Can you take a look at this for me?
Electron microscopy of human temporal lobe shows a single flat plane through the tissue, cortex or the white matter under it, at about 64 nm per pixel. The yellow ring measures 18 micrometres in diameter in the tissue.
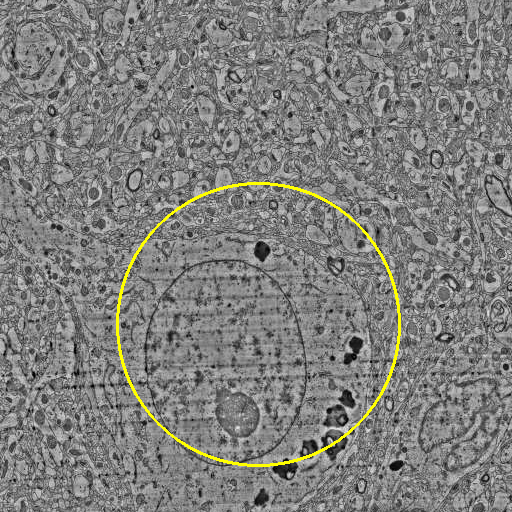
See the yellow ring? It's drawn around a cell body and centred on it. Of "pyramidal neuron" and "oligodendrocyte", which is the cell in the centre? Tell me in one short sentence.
The one in the centre is a pyramidal neuron.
